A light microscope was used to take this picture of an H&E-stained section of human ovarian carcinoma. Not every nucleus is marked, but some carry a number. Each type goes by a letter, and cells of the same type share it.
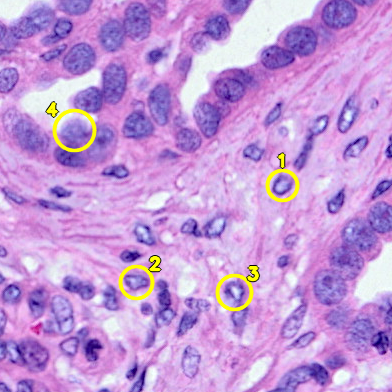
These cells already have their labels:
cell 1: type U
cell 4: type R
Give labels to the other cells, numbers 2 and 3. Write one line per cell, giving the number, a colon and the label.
2: type U
3: type U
